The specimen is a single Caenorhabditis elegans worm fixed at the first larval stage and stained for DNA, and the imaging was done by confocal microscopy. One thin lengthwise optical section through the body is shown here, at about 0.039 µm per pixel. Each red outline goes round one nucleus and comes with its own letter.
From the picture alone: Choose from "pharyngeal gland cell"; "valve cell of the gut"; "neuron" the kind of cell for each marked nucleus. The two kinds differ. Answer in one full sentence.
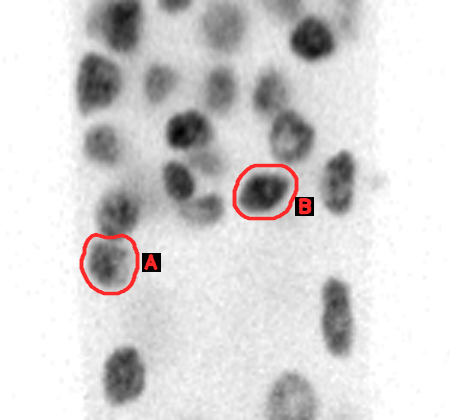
One is from a neuron, namely A, and the other, B, is from a valve cell of the gut.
